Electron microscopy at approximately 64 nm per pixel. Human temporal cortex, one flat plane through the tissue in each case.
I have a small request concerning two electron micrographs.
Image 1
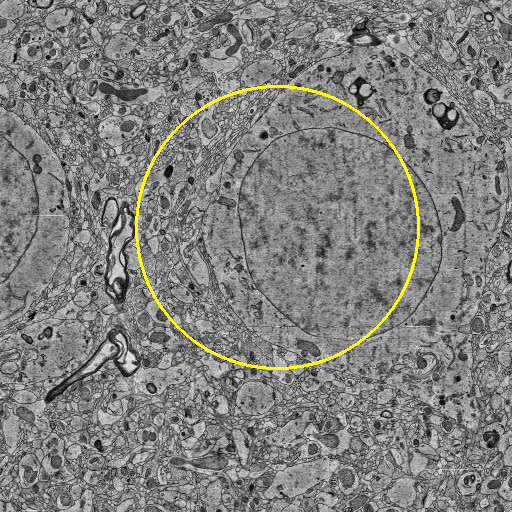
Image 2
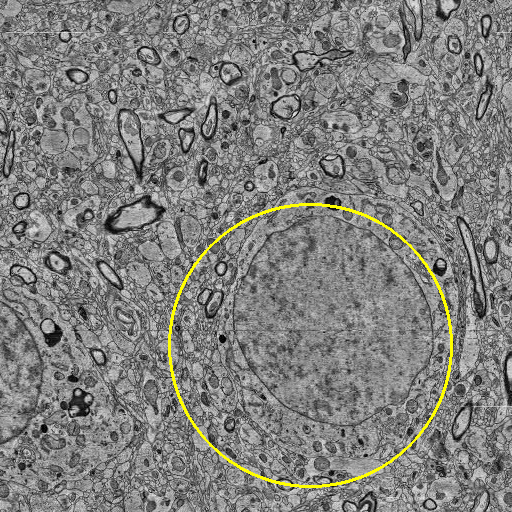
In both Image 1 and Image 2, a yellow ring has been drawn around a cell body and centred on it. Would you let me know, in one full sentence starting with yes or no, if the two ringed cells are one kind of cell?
Yes, the cells ringed in Image 1 and Image 2 are one kind of cell.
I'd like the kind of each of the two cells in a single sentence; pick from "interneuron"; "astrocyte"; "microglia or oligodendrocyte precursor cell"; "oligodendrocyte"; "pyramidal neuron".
Each of the two cells is a pyramidal neuron.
